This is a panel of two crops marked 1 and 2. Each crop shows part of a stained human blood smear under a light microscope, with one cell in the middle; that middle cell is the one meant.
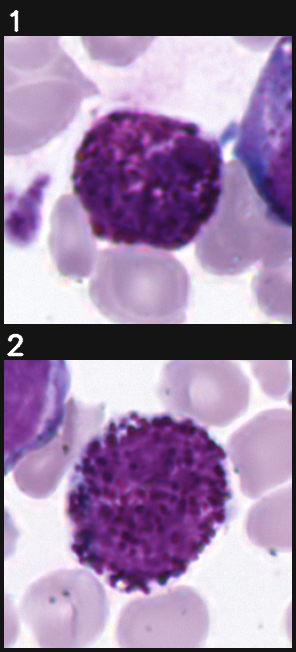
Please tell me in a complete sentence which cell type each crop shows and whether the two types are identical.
Yes, at the centre of both crops are basophils.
